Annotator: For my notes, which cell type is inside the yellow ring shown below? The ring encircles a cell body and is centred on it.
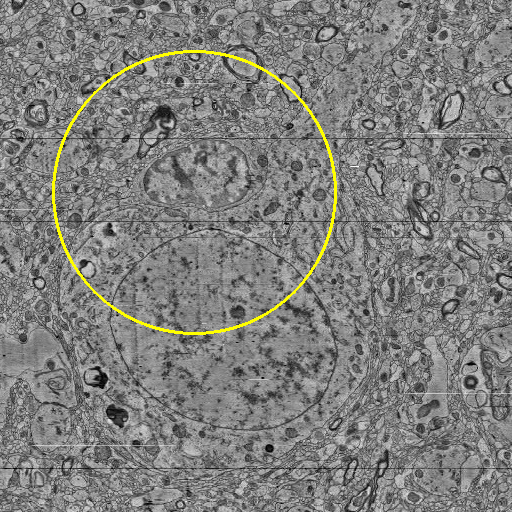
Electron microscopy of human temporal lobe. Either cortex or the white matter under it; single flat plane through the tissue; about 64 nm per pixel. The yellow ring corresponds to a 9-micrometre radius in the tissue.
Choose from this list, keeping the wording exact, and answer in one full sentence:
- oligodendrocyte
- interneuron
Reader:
At the centre of the yellow ring there is an oligodendrocyte, as shown in the picture.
